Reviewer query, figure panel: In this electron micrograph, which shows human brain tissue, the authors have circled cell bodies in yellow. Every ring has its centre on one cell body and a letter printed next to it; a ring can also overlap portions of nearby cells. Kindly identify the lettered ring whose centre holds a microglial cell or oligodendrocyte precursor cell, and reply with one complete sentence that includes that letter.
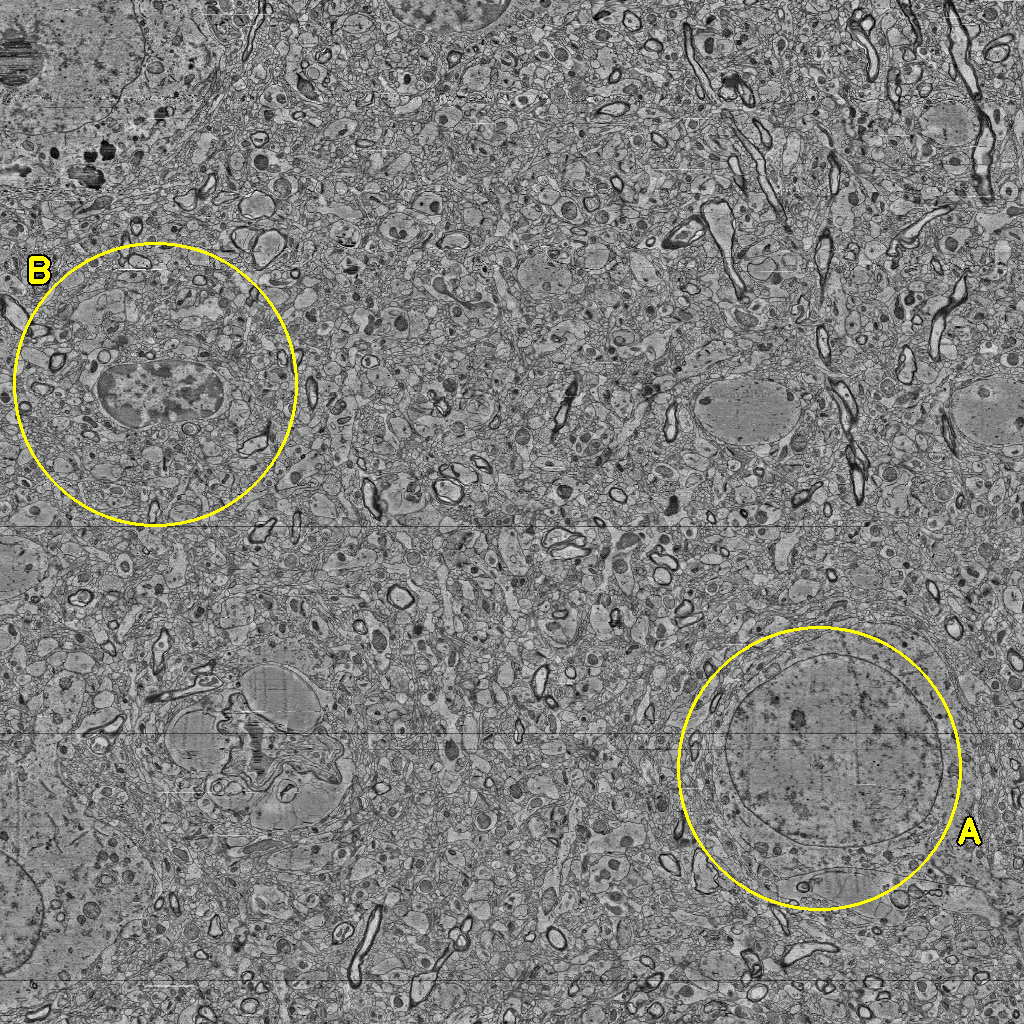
In this figure panel, the ring labelled B has the cell asked for at its centre.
